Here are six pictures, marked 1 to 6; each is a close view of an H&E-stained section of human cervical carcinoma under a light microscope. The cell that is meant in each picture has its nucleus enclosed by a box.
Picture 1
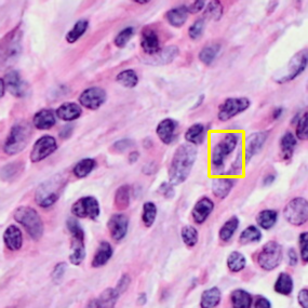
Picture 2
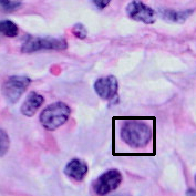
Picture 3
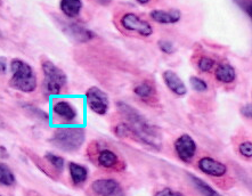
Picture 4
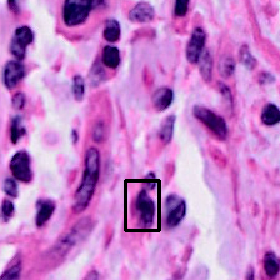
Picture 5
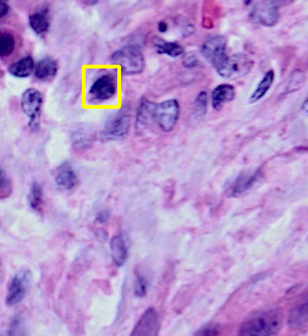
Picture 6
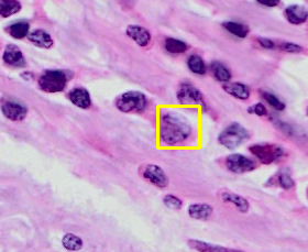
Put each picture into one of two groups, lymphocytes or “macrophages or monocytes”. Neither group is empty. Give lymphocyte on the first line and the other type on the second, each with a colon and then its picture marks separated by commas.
lymphocyte: 1, 3, 4, 5
macrophage or monocyte: 2, 6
